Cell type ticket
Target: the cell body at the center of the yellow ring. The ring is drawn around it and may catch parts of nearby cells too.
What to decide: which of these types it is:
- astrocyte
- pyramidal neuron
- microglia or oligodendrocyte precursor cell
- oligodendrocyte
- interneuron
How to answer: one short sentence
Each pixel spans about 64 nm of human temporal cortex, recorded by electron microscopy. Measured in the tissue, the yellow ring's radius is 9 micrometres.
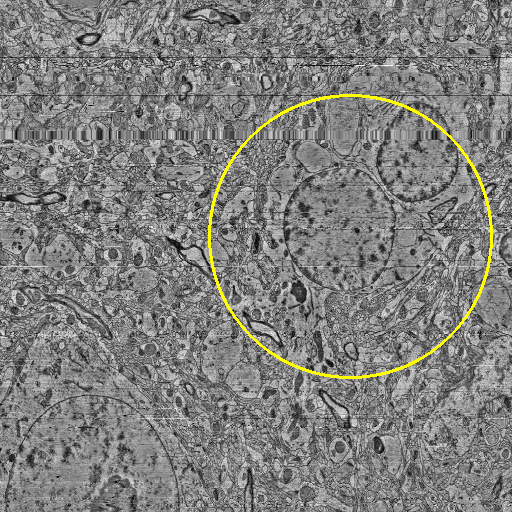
The cell at the center of the ring is an astrocyte.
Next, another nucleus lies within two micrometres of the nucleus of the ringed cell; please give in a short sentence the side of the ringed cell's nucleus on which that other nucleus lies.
The other one is to the upper right of it.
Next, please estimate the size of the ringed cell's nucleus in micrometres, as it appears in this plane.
In this plane, the nucleus is roughly 9 by 7 micrometres.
